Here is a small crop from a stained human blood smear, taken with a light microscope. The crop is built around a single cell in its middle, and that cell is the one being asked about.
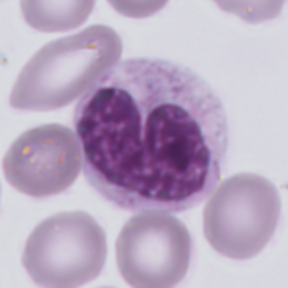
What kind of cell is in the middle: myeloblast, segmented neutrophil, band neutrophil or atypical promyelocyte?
band neutrophil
